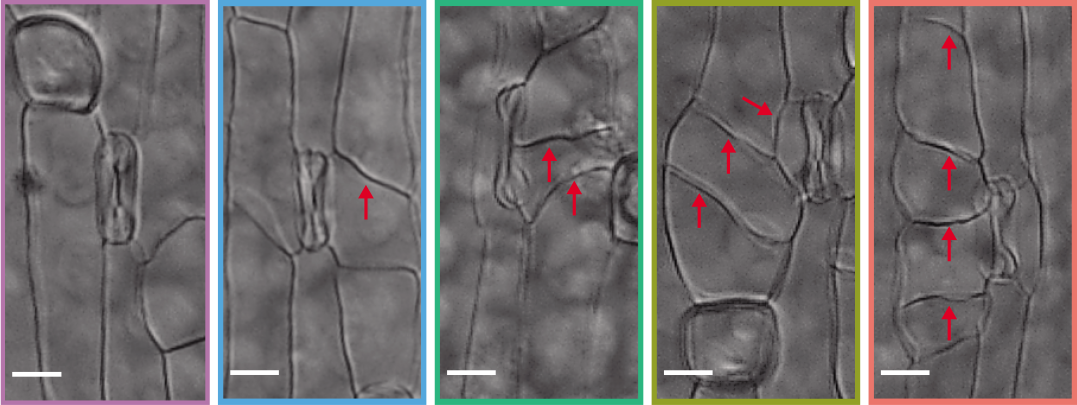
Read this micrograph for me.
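The cells flanking this central pair are cut by extra thin walls, marked by red arrows, which run obliquely or curve across the cell rather than along the file. The first image shows no such extra wall, while the following images show one, two, three and four of them, so the flanking region becomes split into several small irregular cells.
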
